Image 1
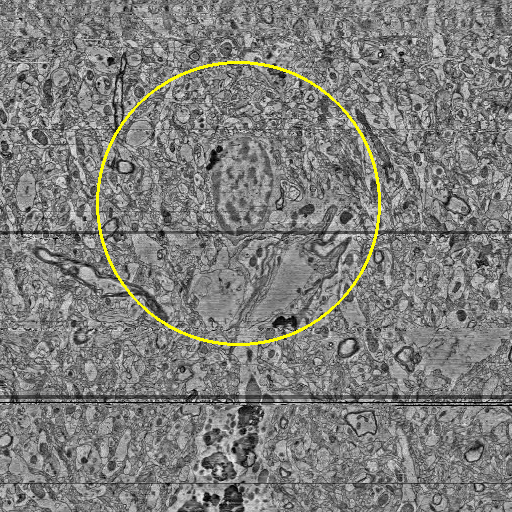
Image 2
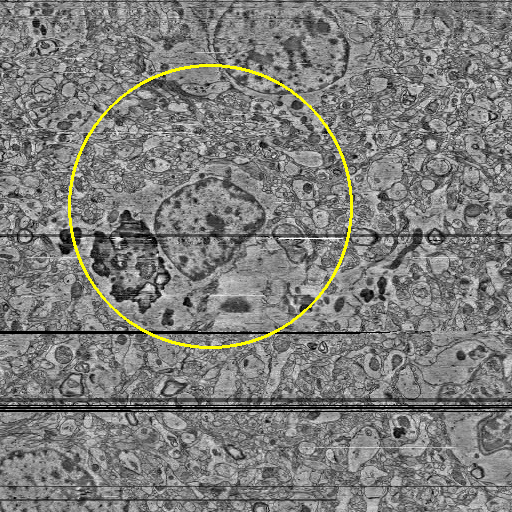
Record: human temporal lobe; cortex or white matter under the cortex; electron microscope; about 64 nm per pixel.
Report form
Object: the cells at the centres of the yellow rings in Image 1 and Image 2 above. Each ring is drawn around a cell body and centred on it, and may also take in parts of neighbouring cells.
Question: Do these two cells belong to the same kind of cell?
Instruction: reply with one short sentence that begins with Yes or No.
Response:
No, they belong to two kinds of cell.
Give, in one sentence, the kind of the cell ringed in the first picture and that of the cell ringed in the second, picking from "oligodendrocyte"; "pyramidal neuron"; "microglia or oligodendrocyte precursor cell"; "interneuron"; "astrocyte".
For the first picture it is an oligodendrocyte; for the second, an astrocyte.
